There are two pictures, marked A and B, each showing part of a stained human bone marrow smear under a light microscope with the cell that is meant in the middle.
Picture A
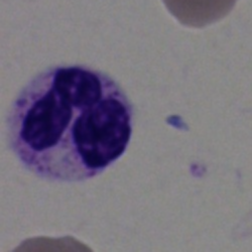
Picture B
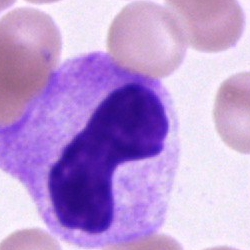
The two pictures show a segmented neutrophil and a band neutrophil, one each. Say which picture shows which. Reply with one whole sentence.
Picture A shows a segmented neutrophil and picture B shows a band neutrophil.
